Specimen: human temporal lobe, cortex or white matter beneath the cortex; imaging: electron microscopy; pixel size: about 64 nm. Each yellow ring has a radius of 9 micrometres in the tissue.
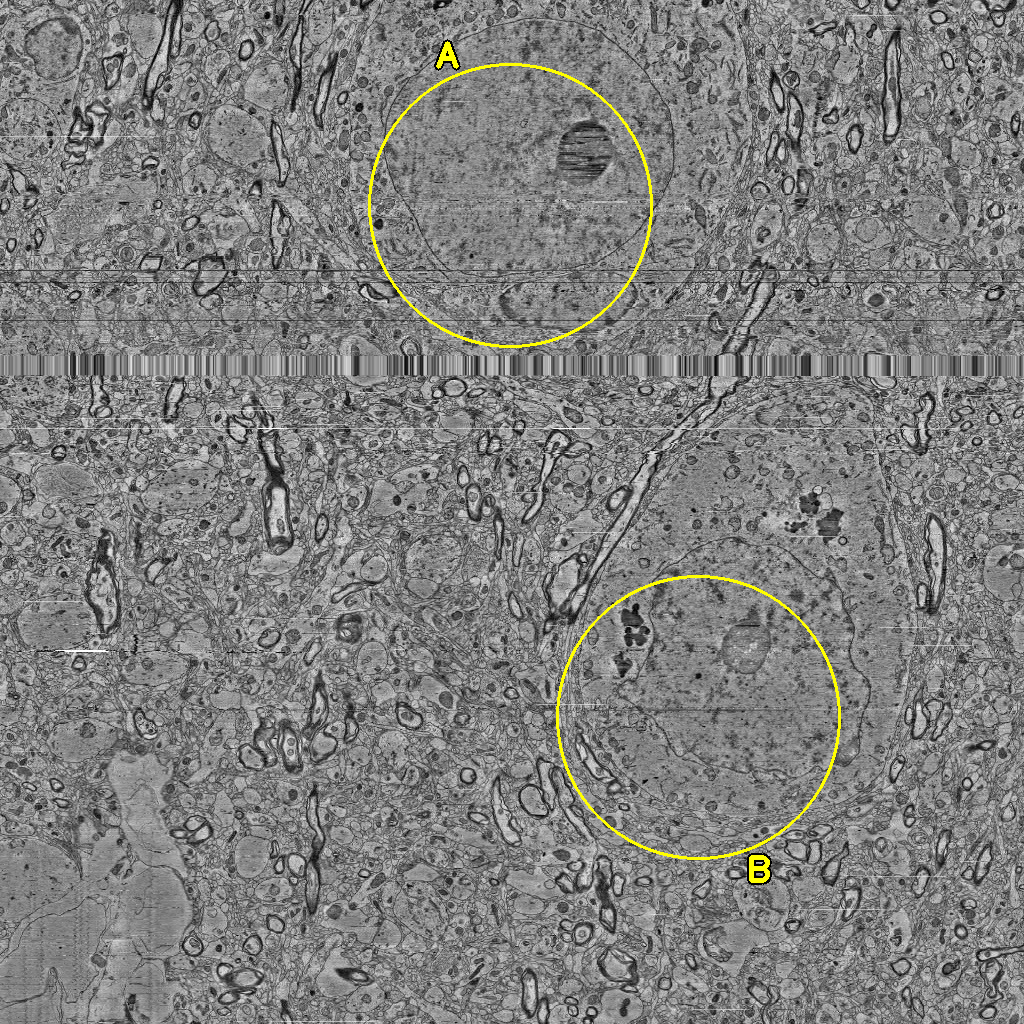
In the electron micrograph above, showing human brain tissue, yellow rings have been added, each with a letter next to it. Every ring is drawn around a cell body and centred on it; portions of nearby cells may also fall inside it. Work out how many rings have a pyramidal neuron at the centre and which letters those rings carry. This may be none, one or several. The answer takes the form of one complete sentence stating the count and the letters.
There exist two rings lettered A and B, and a pyramidal neuron lies at the centre of each.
